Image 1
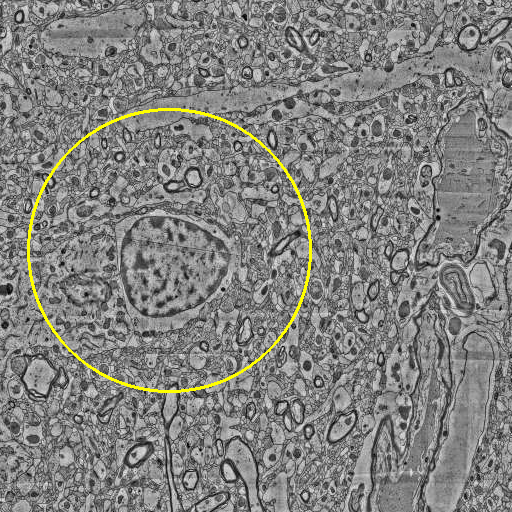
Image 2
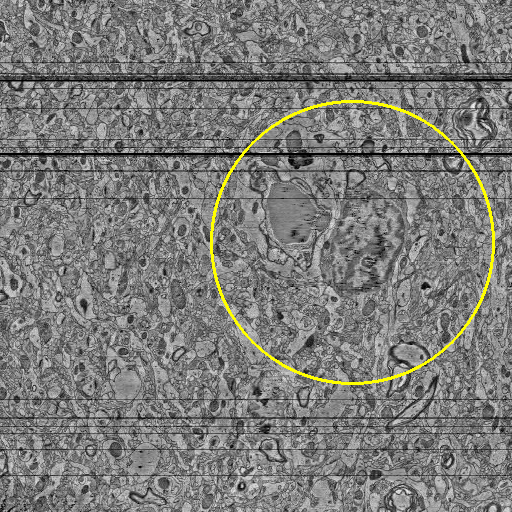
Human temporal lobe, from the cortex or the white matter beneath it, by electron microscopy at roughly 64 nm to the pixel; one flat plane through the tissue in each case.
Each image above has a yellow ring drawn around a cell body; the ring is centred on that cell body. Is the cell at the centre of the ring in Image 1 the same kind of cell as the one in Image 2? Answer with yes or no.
no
